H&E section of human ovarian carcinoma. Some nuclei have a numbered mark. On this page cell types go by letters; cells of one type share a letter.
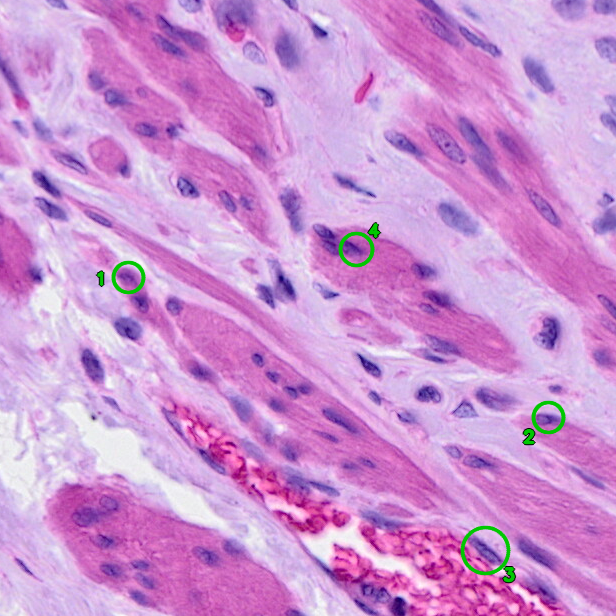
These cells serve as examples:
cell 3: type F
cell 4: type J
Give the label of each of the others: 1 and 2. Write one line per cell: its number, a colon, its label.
1: type J
2: type J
